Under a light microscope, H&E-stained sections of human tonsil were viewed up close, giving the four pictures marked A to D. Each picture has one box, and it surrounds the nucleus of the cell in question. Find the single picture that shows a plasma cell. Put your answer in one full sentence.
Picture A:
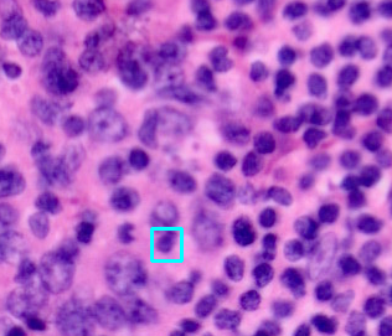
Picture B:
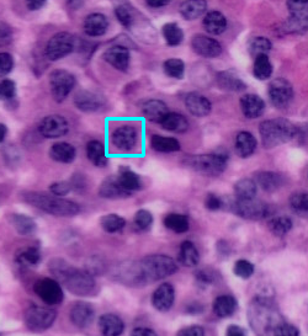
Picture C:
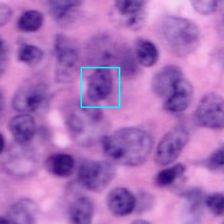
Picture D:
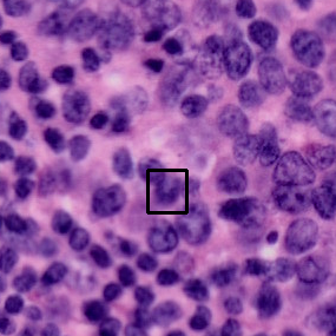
The cell in picture B is the plasma cell.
